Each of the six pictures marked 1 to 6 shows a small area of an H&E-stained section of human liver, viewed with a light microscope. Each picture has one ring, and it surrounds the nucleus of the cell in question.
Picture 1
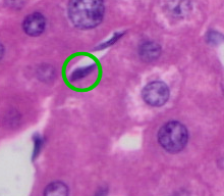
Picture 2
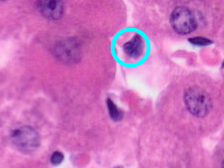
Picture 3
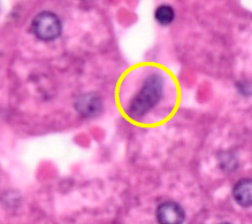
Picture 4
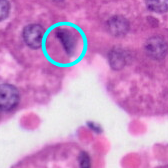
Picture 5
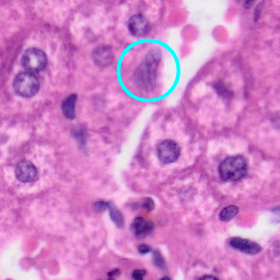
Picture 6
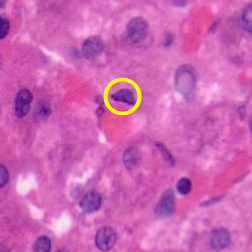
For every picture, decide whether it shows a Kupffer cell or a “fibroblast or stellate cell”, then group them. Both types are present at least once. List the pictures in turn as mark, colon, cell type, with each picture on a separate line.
1: fibroblast or stellate cell
2: fibroblast or stellate cell
3: Kupffer cell
4: fibroblast or stellate cell
5: Kupffer cell
6: fibroblast or stellate cell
